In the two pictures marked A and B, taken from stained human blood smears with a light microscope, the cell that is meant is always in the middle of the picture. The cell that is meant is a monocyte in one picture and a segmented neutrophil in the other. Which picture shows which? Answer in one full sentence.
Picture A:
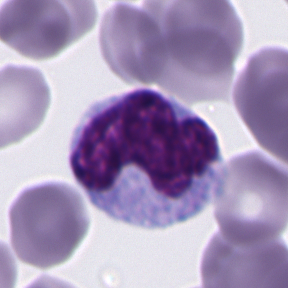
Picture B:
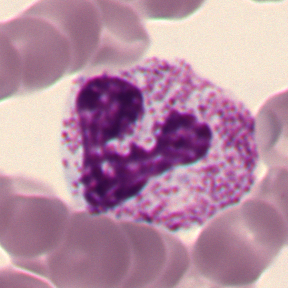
In picture A the cell is a monocyte; in picture B, a segmented neutrophil.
